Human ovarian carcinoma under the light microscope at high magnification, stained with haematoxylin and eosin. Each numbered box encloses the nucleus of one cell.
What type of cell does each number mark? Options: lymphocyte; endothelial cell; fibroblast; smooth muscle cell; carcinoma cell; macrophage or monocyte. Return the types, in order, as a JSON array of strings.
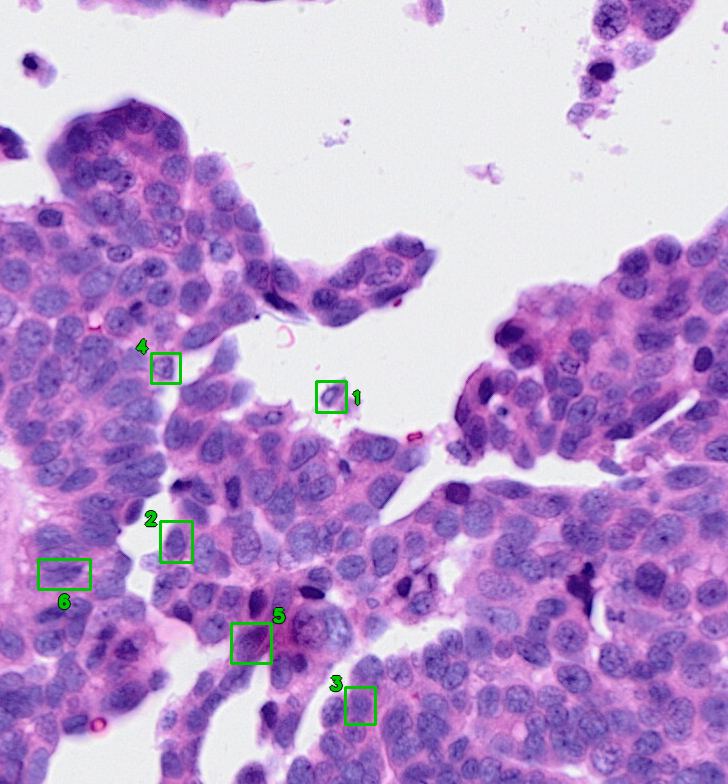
["macrophage or monocyte", "carcinoma cell", "carcinoma cell", "macrophage or monocyte", "carcinoma cell", "carcinoma cell"]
